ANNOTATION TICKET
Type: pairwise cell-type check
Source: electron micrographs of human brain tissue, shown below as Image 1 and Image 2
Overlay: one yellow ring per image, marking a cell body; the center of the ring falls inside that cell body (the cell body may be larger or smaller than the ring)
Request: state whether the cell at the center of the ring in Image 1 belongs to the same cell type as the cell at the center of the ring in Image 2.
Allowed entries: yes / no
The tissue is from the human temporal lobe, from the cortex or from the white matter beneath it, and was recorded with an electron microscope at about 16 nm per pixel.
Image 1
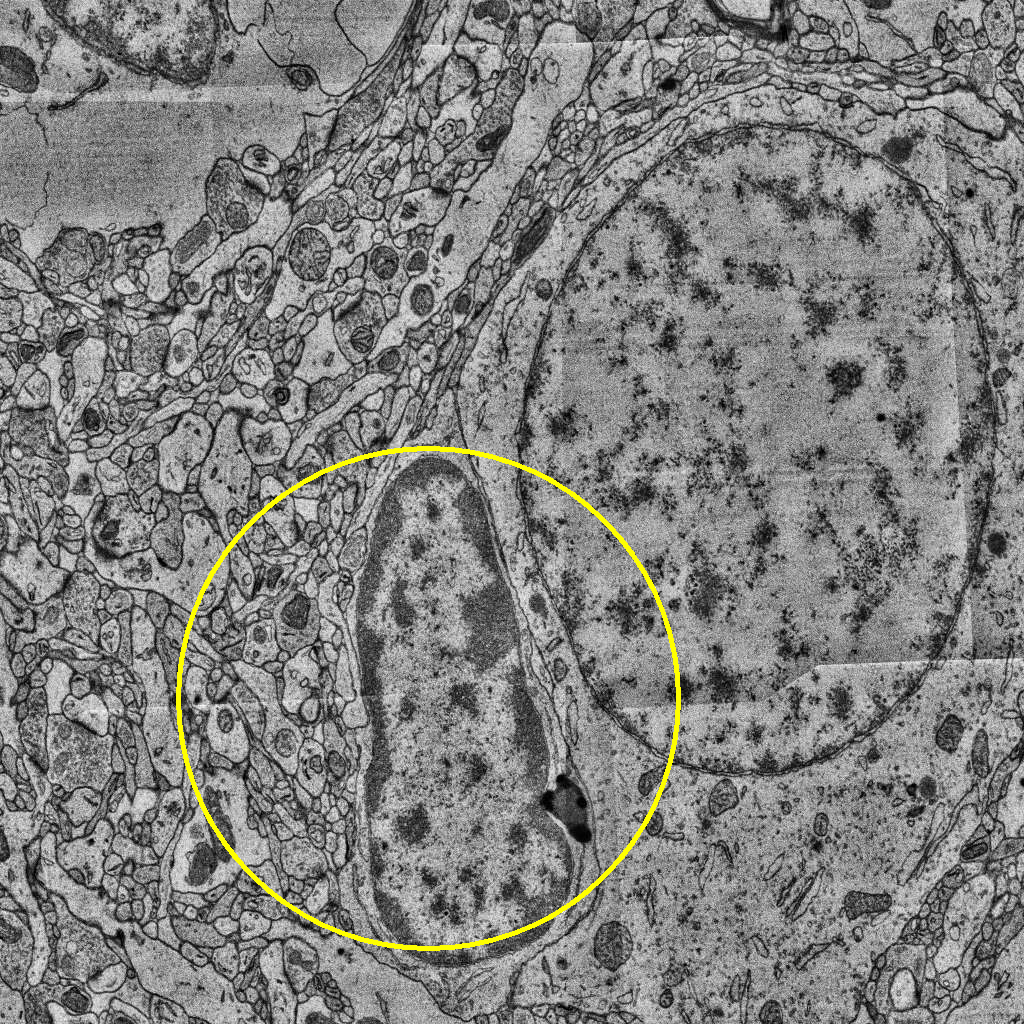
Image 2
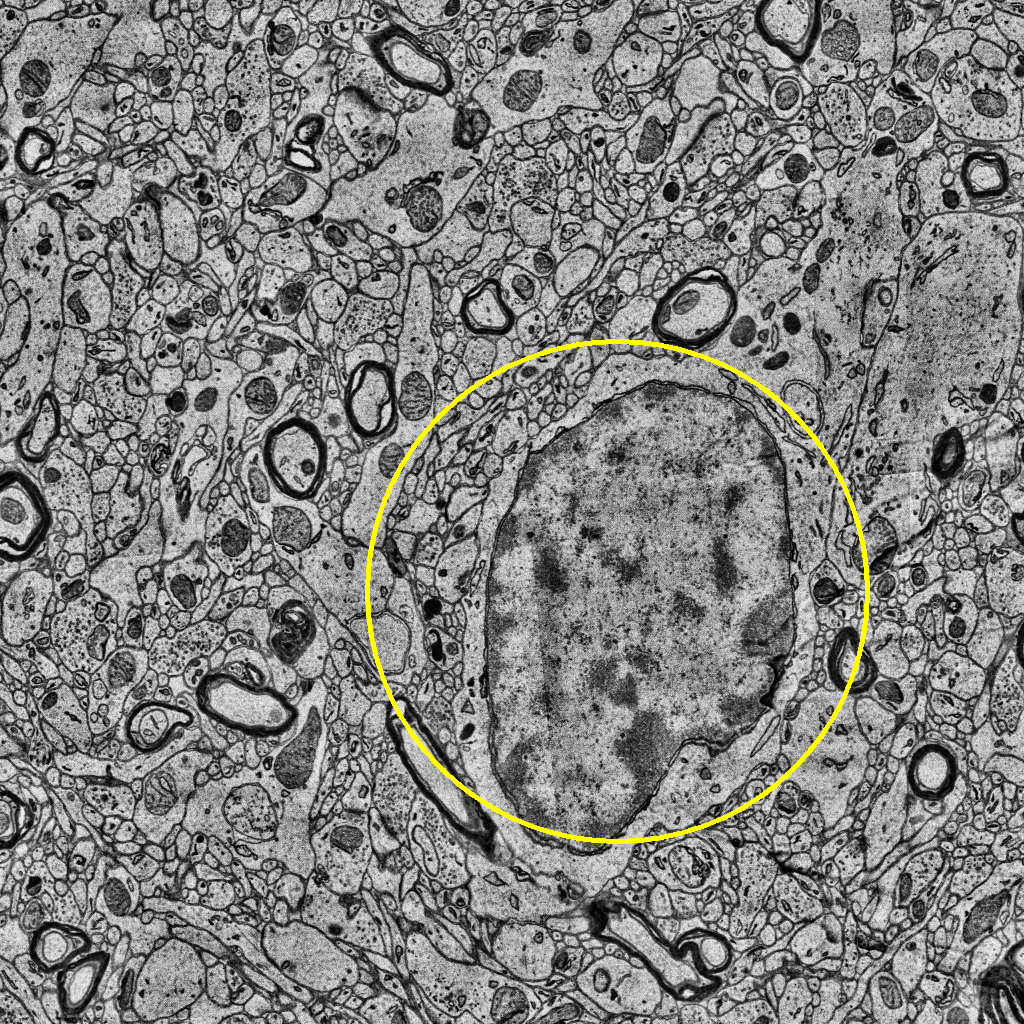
yes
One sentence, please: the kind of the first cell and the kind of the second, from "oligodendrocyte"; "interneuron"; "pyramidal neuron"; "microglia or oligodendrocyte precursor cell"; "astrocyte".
Each of the two pictures has a microglial cell or oligodendrocyte precursor cell at the ring centre.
